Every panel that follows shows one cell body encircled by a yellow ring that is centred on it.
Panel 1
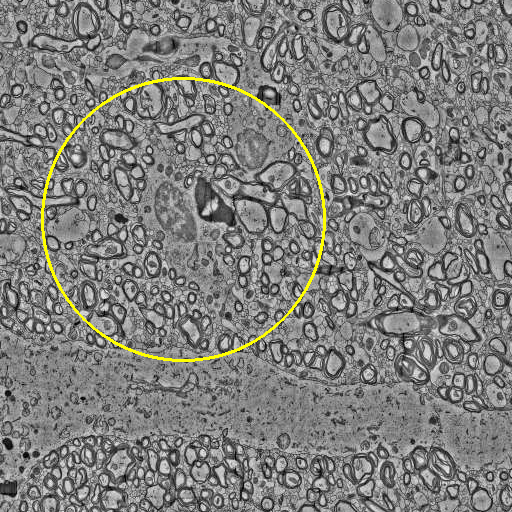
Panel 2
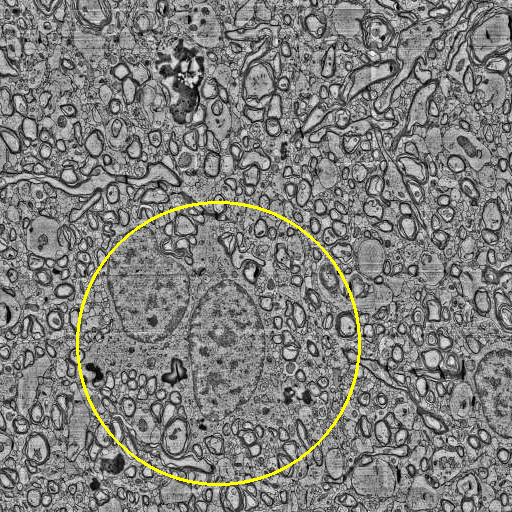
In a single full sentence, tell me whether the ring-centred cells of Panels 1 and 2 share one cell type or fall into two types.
In Panel 1 and Panel 2, the cells at the ring centres share one cell type.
